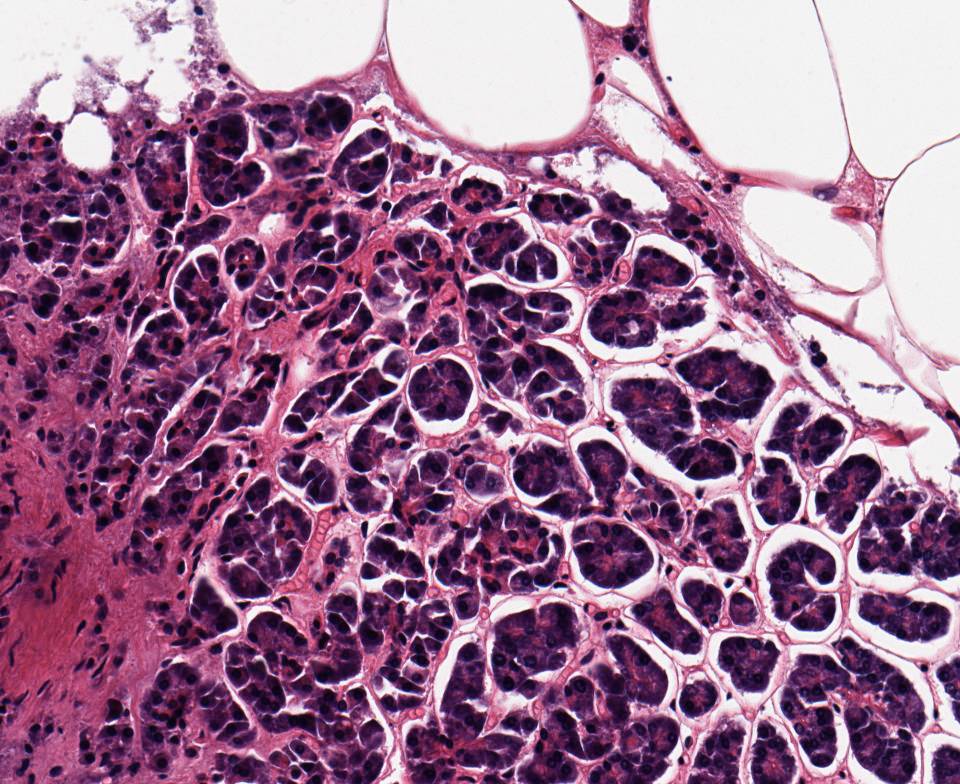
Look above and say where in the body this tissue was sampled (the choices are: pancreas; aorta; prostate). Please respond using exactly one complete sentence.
This section was cut from tissue of the pancreas.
